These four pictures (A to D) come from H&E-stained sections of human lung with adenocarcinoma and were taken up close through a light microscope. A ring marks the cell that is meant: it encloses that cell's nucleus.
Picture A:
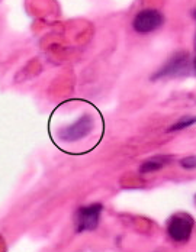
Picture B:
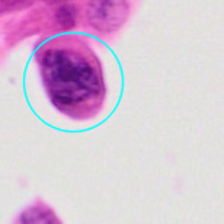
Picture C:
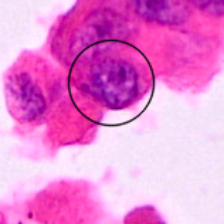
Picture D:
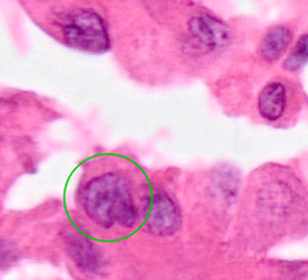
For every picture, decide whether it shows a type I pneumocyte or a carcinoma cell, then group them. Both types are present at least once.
A: type I pneumocyte
B: carcinoma cell
C: carcinoma cell
D: carcinoma cell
